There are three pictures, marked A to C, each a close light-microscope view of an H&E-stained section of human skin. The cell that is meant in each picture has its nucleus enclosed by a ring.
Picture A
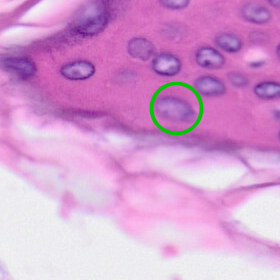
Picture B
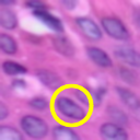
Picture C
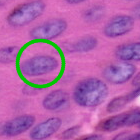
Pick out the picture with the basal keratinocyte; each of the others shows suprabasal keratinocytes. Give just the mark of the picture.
B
